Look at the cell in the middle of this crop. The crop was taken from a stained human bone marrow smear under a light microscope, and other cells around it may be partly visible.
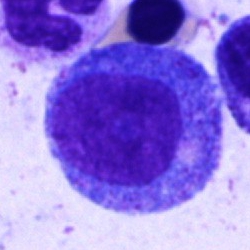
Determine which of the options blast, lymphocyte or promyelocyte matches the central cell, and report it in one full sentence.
In the crop, the cell of interest at the centre is a promyelocyte.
